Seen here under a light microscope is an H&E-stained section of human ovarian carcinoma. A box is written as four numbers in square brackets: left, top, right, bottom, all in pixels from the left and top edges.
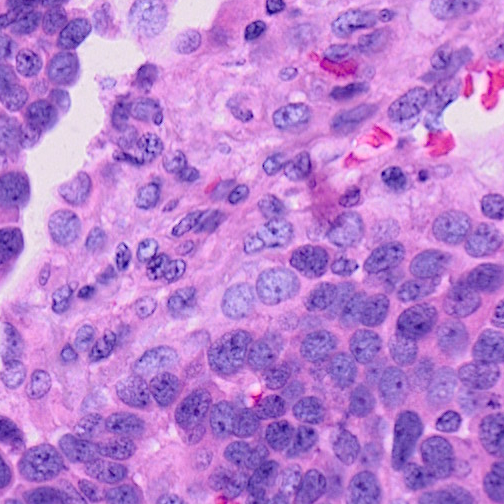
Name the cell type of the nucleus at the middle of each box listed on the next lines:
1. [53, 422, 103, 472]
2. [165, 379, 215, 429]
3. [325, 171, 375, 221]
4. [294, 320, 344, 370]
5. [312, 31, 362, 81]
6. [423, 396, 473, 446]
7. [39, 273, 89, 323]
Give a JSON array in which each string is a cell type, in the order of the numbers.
["carcinoma cell", "carcinoma cell", "macrophage or monocyte", "carcinoma cell", "endothelial cell", "macrophage or monocyte", "fibroblast"]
